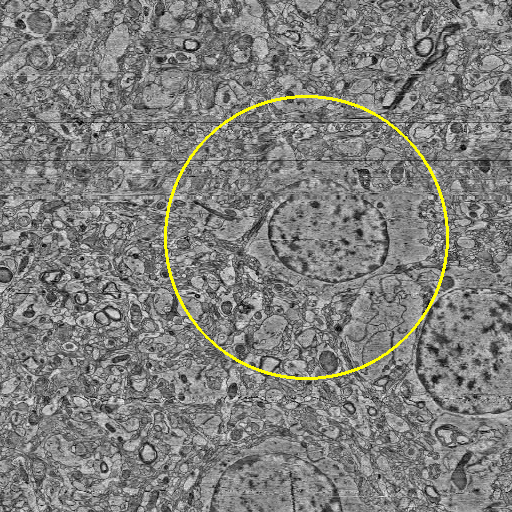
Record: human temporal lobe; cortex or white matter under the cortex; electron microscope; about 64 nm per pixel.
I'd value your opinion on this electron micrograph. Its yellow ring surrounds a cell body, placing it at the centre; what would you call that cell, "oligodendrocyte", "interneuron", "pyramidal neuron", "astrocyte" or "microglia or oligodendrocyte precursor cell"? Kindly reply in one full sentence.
It is an astrocyte that sits centred within the yellow ring in this micrograph.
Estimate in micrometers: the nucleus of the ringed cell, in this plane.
The ringed cell's nucleus is about 8 micrometres long and 6 micrometres wide in this plane.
